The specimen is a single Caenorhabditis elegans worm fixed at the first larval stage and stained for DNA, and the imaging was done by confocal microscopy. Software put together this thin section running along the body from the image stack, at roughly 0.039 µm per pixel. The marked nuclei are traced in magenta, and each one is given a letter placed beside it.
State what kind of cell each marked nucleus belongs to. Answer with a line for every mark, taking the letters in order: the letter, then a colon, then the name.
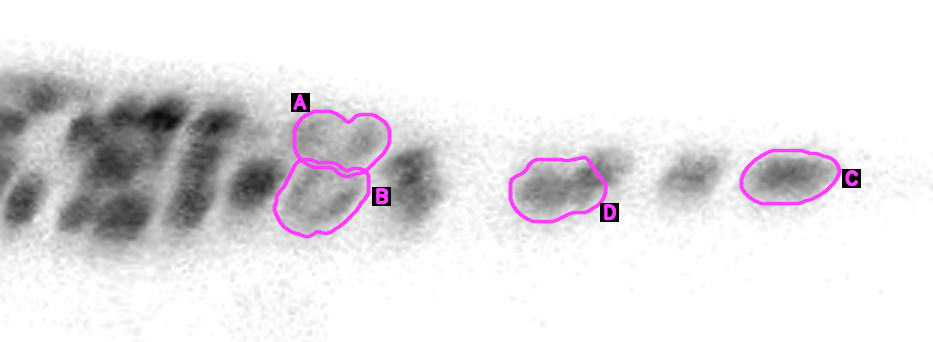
A: seam cell
B: seam cell
C: hypodermal cell (hyp)
D: hypodermal cell (hyp)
